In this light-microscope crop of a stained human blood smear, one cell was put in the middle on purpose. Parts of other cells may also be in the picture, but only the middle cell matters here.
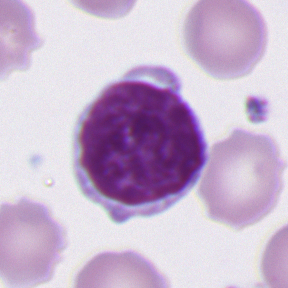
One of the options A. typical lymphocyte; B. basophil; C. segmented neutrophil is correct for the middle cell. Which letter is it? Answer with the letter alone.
A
